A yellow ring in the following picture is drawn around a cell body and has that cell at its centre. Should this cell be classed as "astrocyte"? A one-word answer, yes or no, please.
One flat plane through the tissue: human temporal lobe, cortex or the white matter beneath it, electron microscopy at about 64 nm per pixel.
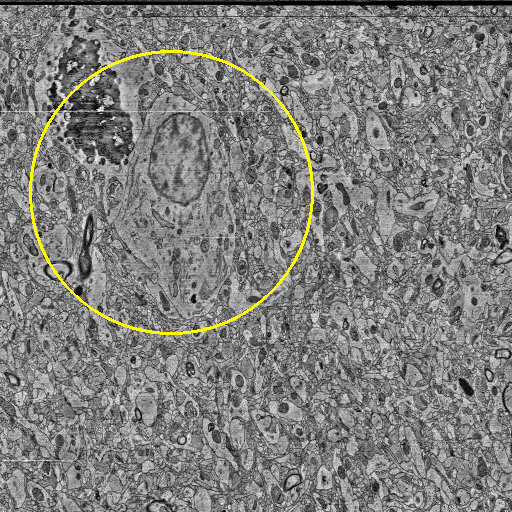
No, it is of another kind.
